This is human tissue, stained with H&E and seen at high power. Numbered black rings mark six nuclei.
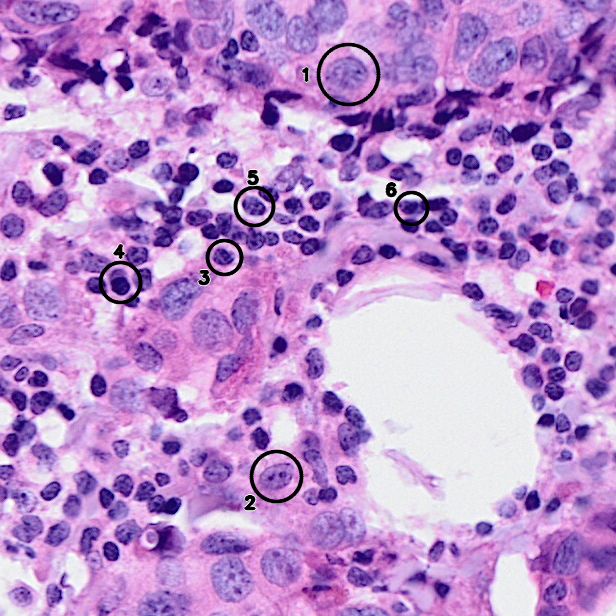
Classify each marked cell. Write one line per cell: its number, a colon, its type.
1: carcinoma cell
2: macrophage, monocyte or dendritic cell
3: lymphocyte
4: lymphocyte
5: lymphocyte
6: lymphocyte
